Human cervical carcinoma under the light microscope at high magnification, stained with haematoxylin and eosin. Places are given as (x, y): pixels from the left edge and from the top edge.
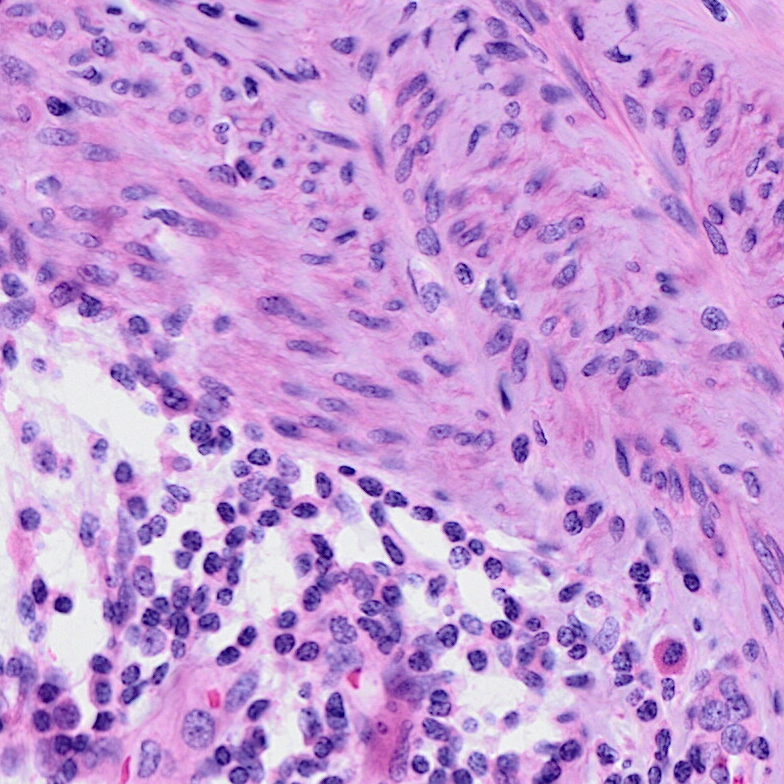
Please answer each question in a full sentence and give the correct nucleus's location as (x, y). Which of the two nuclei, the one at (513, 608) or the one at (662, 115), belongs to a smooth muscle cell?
The nucleus at (662, 115) is the one of the two that belongs to a smooth muscle cell.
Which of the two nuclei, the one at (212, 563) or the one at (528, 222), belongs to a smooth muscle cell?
As for which of the two, the nucleus at (528, 222) belongs to a smooth muscle cell.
